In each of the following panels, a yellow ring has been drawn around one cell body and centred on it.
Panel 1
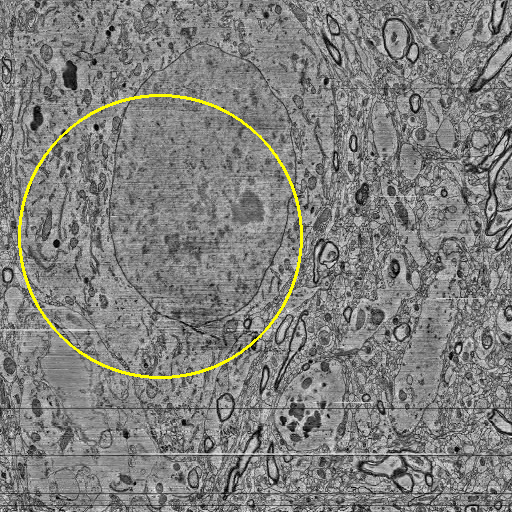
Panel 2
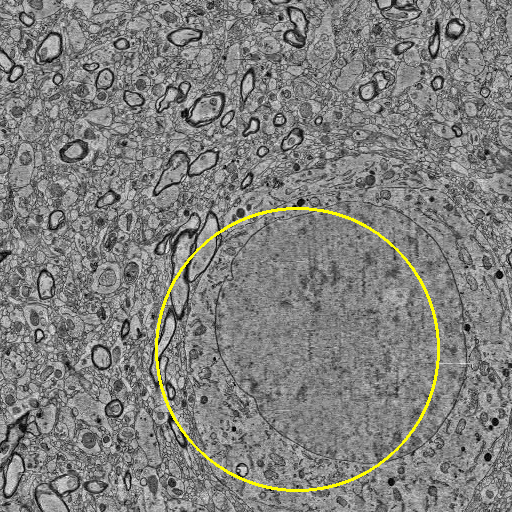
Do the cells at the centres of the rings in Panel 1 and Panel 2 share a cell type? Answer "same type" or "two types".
same type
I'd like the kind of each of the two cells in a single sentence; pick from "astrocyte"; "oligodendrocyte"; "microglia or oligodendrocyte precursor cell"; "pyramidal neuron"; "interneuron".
The ring centre holds a pyramidal neuron in each of the two pictures.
